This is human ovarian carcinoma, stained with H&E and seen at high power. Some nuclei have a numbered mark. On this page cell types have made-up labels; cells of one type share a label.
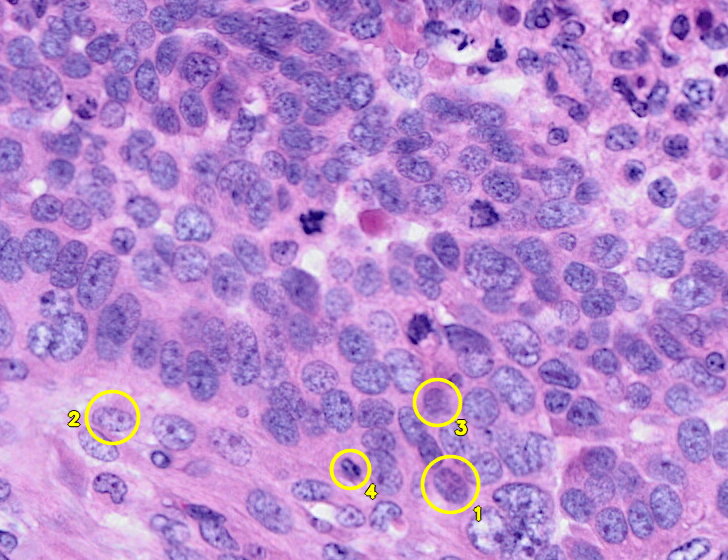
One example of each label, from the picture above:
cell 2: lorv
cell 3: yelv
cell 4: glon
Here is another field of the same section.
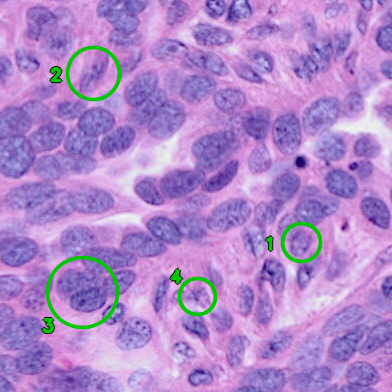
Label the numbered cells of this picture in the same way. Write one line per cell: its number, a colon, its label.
1: lorv
2: lorv
3: yelv
4: lorv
